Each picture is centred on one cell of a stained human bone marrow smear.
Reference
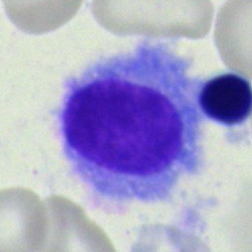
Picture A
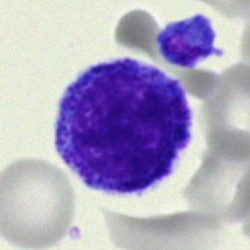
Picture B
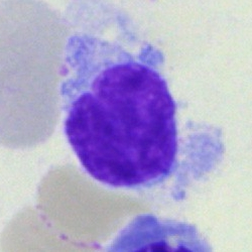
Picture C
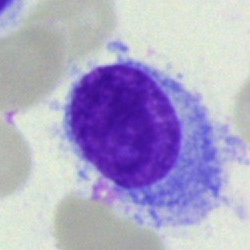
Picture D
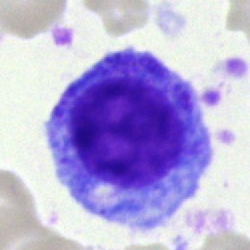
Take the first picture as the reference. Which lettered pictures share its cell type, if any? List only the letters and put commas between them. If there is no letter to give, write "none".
B, C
